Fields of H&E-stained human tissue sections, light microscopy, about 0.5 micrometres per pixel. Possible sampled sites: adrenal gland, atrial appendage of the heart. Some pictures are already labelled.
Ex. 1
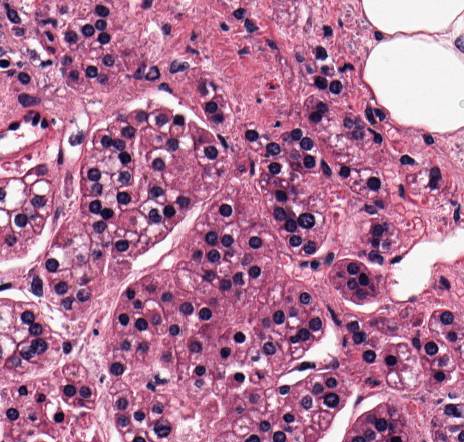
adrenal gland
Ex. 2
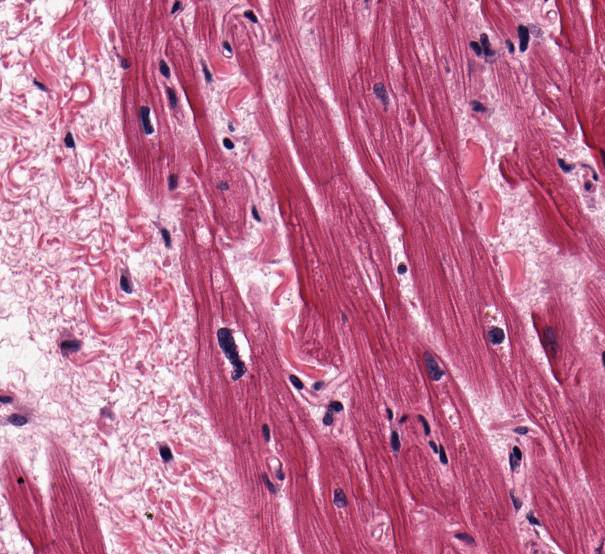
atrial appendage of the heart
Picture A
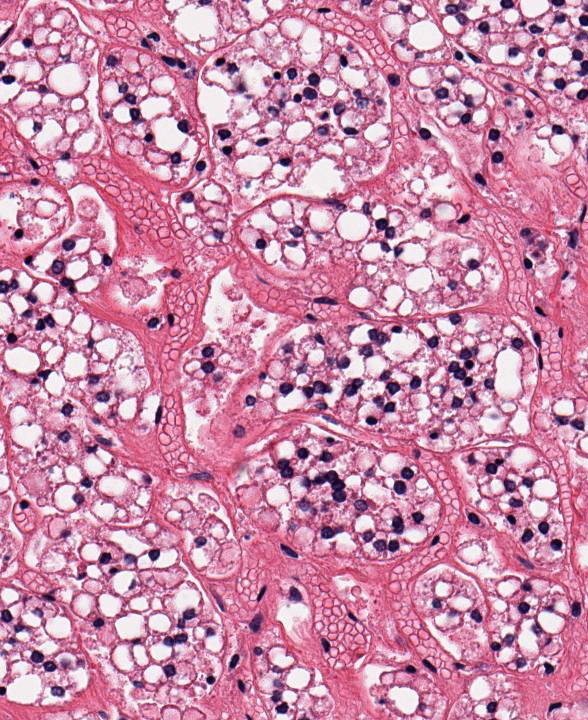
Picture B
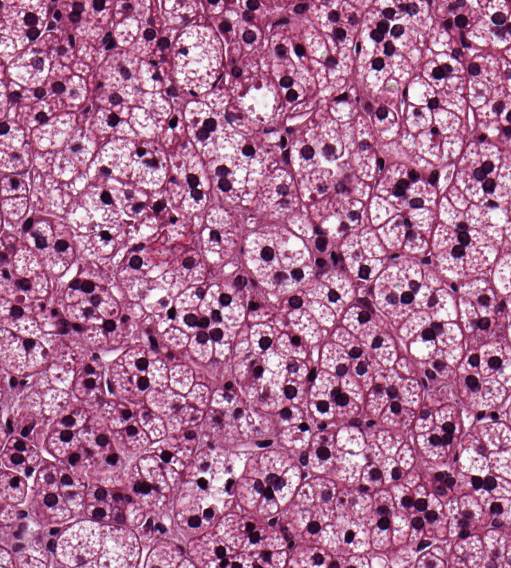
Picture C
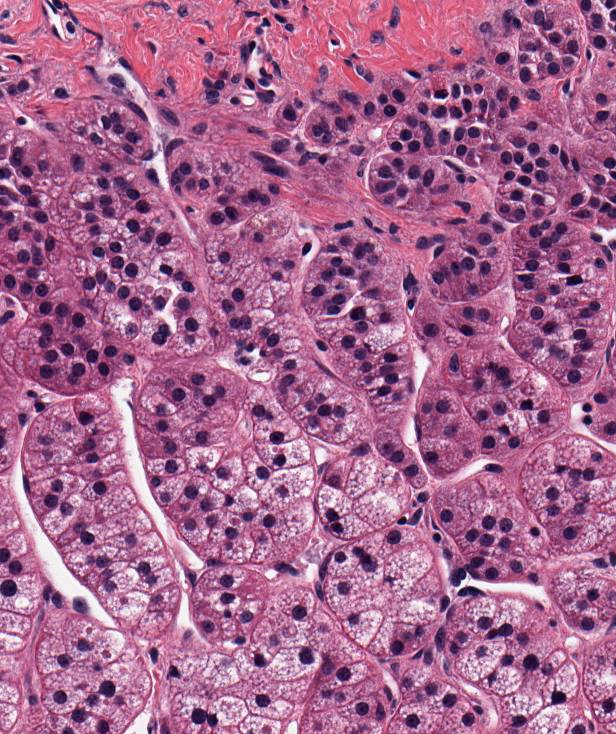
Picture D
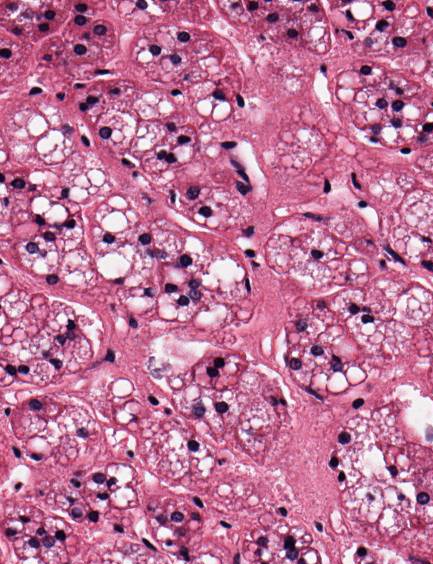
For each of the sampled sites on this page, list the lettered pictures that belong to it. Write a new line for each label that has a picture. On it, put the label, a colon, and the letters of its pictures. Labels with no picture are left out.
adrenal gland: A, B, C, D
